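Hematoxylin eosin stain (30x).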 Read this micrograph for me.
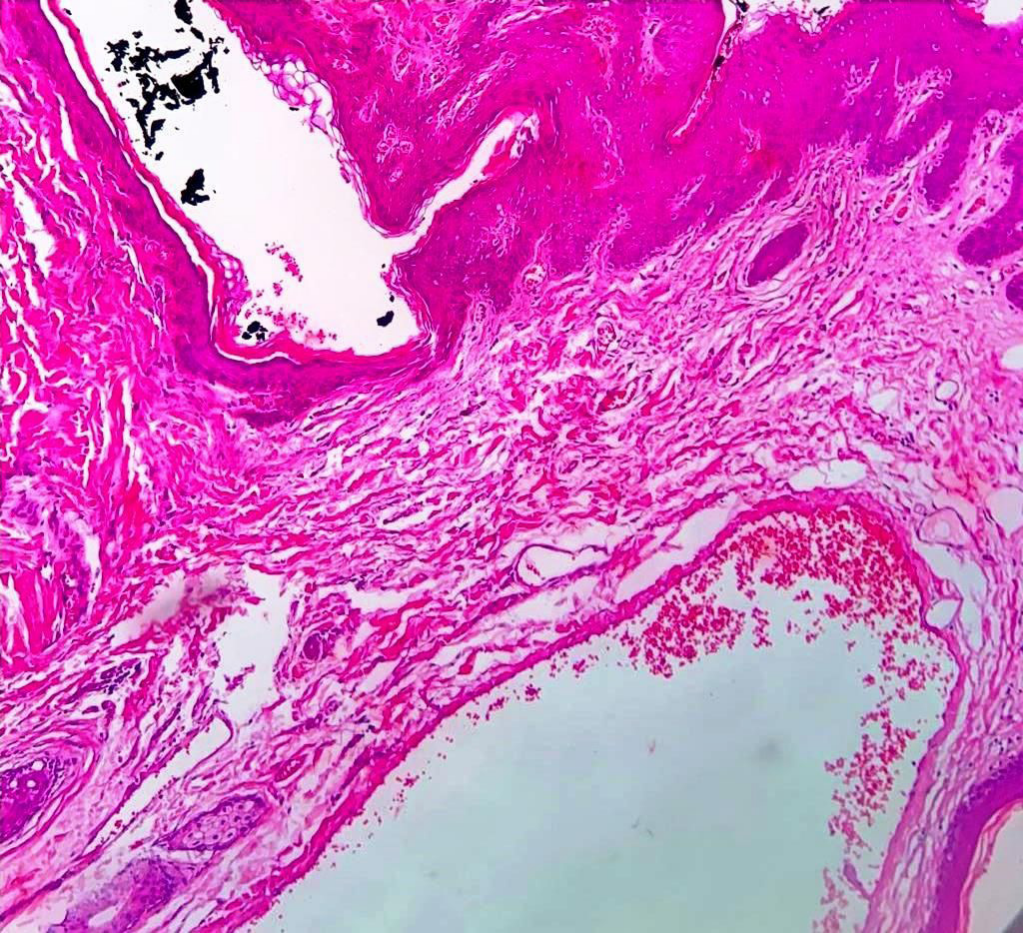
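This is skin in which the dermis holds greatly widened blood vessels. At the top, a thick, deep pink stratified squamous epidermis with purple basal nuclei borders a cleft-like space. The space is lined by a compact pink keratin layer, and scattered black debris lies within it. Below the epidermis, the dermis is made of loose, wavy pink collagen bundles with scattered small nuclei and a few small vessels. The lower right is taken up by a huge, thin-walled vascular space lined by a thin pink wall. Clusters of red blood cells lie along its upper edge. Small adnexal structures with purple nuclei appear at the lower left.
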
